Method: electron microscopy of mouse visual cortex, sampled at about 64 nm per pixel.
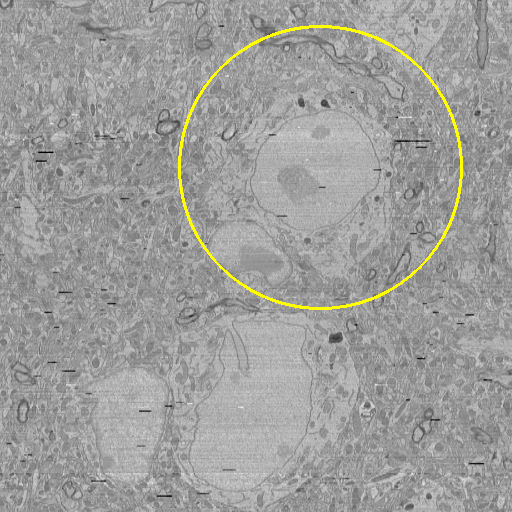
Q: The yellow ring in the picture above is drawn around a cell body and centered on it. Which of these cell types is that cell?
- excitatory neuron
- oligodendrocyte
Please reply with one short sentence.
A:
The cell body at the ring's center belongs to an excitatory neuron.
